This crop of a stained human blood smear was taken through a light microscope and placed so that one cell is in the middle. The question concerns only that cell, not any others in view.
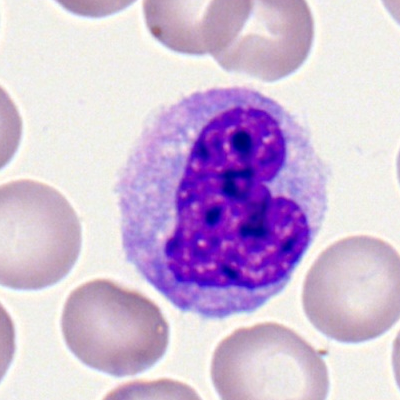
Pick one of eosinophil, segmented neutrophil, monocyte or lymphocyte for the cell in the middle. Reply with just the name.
monocyte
